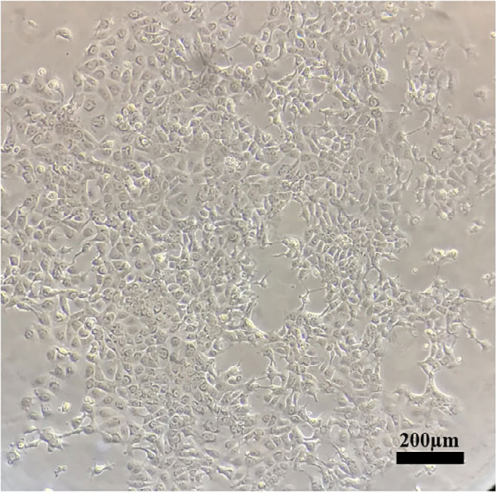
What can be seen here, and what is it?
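Adherent epithelial cells in a dense monolayer of small, closely packed polygonal cells covering most of the field. Scattered gaps in the layer show bare surface, and some cells at the margins are rounded and bright.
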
